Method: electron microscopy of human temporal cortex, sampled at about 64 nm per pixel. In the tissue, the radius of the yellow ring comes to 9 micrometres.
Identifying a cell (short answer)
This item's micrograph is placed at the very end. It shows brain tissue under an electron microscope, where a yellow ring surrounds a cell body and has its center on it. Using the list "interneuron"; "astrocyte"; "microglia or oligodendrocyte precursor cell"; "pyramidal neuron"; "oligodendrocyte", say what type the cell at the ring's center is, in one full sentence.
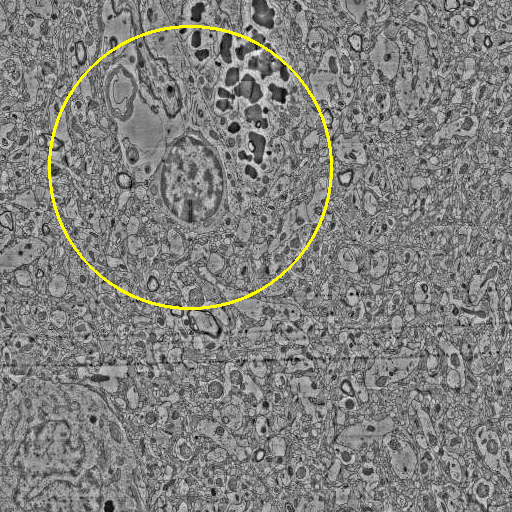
This picture shows an oligodendrocyte at the center of the yellow ring drawn on it.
